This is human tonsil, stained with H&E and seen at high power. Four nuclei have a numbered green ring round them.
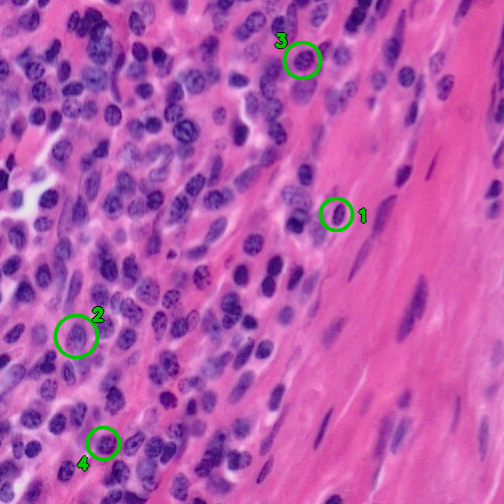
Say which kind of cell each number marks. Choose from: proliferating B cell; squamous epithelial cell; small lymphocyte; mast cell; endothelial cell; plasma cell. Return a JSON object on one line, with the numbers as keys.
{"1": "mast cell", "2": "endothelial cell", "3": "plasma cell", "4": "plasma cell"}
